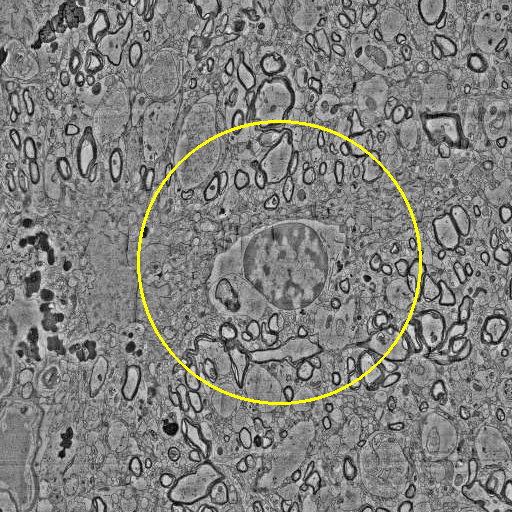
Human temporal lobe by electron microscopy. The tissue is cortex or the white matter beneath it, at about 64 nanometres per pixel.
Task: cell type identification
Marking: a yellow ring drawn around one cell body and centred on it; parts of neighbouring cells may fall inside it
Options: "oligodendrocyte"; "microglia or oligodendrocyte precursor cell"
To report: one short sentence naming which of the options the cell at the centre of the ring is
The cell at the centre of the ring is a microglial cell or oligodendrocyte precursor cell.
